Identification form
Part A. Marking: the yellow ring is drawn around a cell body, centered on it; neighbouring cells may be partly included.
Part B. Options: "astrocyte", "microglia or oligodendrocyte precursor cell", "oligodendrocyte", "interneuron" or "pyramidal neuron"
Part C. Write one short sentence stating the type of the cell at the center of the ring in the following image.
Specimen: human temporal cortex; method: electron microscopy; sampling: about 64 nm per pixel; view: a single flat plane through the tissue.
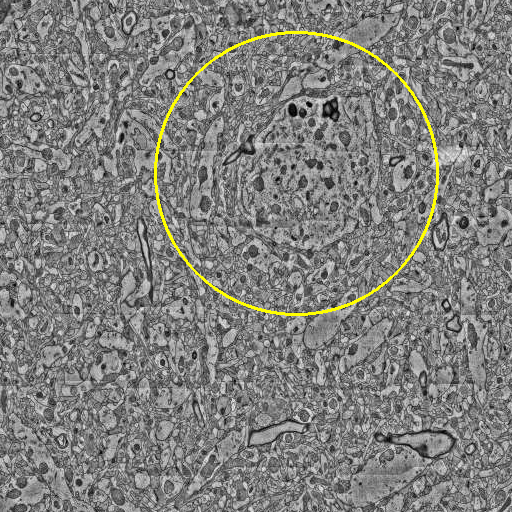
The center of the ring holds a pyramidal neuron.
